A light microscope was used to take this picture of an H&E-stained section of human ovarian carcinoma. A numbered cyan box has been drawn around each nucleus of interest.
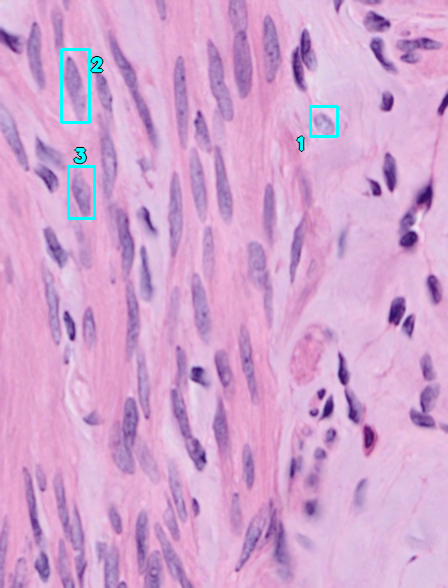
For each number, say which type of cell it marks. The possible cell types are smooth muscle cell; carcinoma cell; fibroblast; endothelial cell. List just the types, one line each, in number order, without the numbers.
fibroblast
smooth muscle cell
smooth muscle cell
